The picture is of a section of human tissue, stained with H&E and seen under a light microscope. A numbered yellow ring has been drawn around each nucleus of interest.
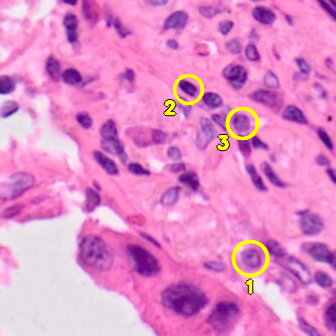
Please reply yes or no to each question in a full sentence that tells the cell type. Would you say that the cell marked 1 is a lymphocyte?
No, cell 1 does not represent a lymphocyte; it represents a plasma cell.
